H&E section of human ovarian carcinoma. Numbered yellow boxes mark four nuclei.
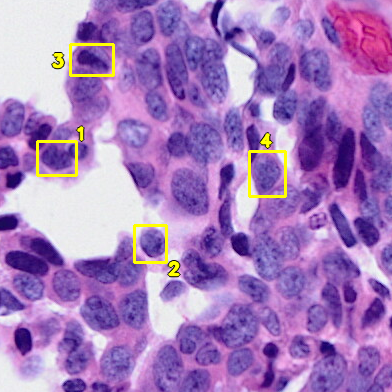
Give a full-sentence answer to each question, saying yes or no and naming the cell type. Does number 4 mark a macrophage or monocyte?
No, in terms of cell type, cell 4 is a carcinoma cell, not a macrophage or monocyte.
